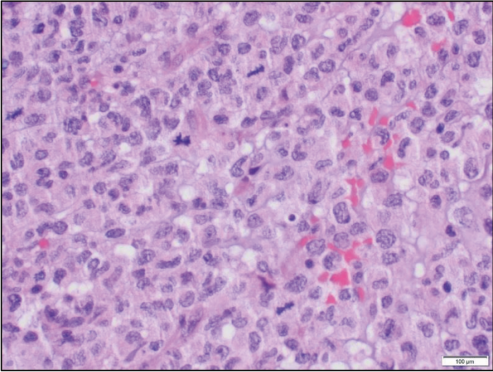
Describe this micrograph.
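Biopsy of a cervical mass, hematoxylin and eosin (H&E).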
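This section shows a blastic infiltrate of large, closely packed tumour cells growing in diffuse sheets. The nuclei are large, oval to irregular and sometimes folded, with open chromatin and small nucleoli, set in moderate amounts of pale pink cytoplasm. Several mitotic figures are scattered through the field, and small groups of red blood cells lie between the tumour cells.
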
